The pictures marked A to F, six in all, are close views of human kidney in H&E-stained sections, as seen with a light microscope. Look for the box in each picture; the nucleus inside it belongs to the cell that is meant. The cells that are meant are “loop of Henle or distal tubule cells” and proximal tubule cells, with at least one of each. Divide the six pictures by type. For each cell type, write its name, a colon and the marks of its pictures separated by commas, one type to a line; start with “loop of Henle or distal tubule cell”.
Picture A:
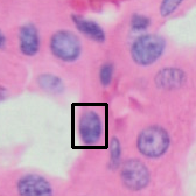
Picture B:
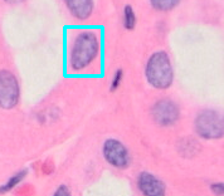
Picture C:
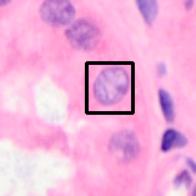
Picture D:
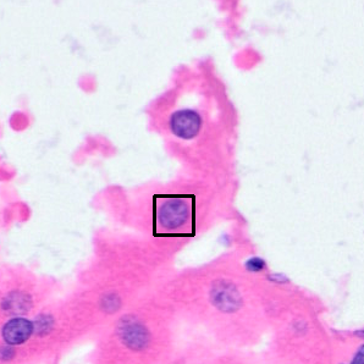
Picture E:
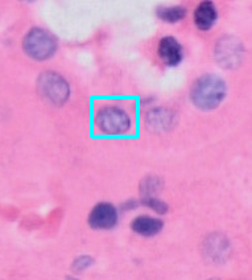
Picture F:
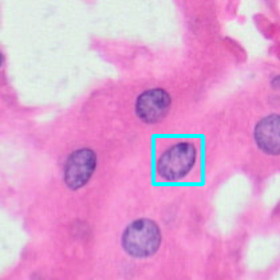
loop of Henle or distal tubule cell: A, B, E
proximal tubule cell: C, D, F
